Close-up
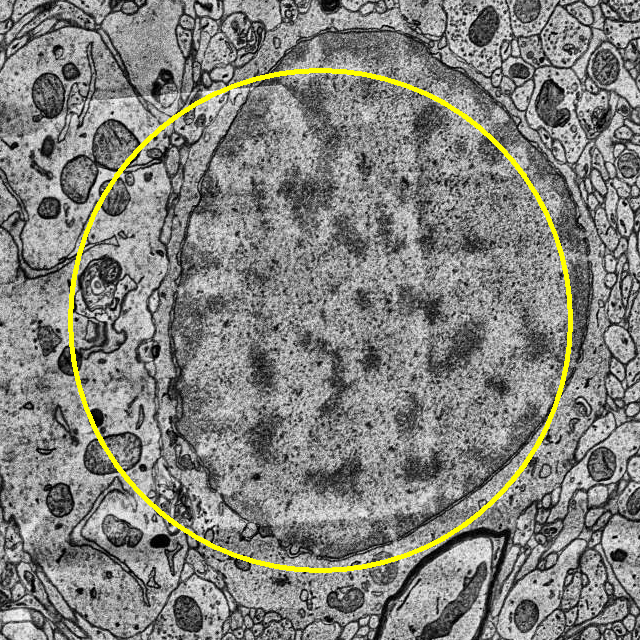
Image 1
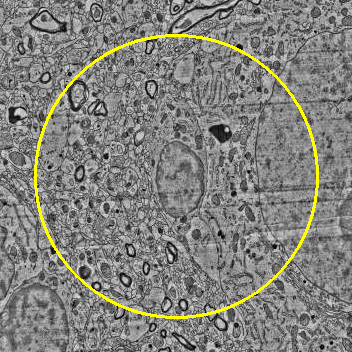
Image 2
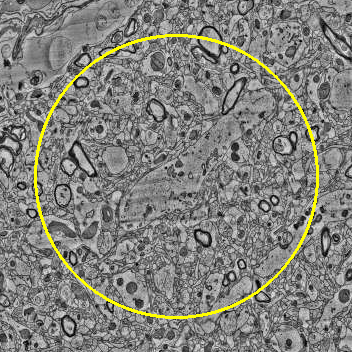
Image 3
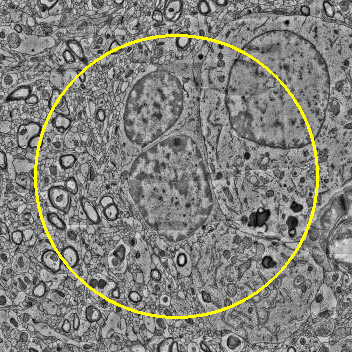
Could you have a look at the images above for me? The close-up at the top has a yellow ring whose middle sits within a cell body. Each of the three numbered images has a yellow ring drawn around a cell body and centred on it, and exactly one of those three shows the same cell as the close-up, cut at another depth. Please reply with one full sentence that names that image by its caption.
The close-up shows a cell, and that cell is ringed in Image 2.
